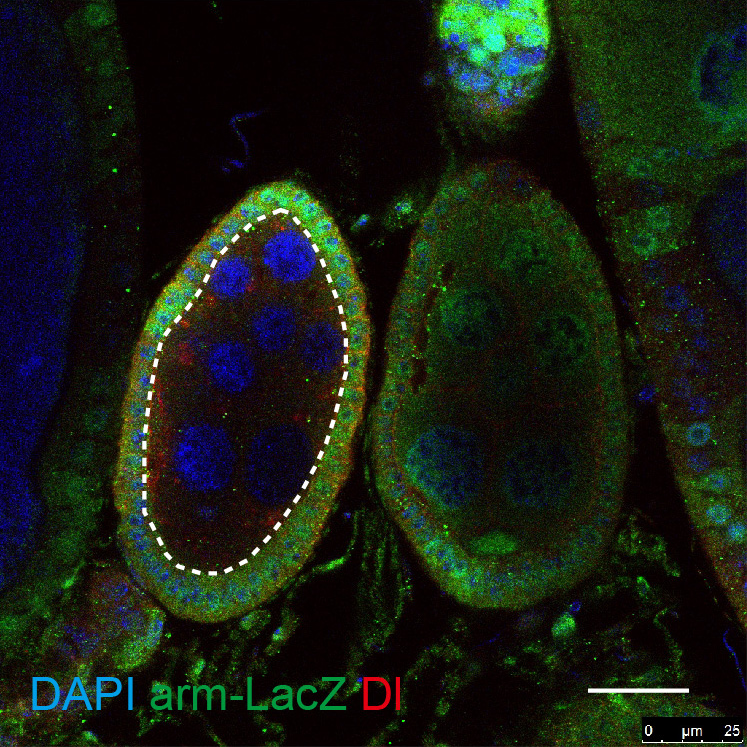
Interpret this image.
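Two oval egg chambers lie side by side, each with a central cluster of large germ cells with big round blue nuclei, wrapped by a single layer of small epithelial cells. In the left chamber the germ cells inside the dashed line lack the green found elsewhere, while the surrounding epithelium stays green.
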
